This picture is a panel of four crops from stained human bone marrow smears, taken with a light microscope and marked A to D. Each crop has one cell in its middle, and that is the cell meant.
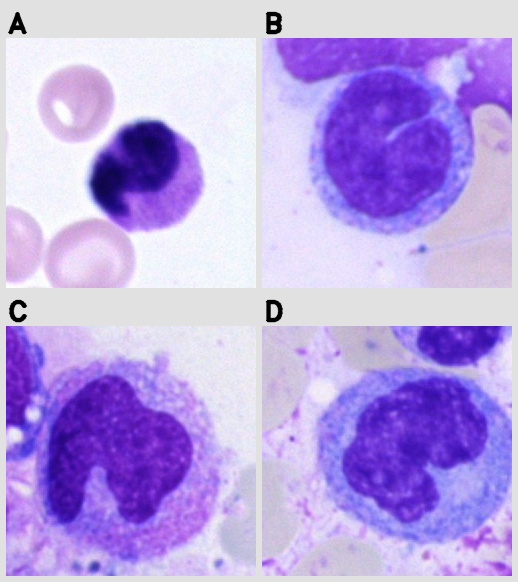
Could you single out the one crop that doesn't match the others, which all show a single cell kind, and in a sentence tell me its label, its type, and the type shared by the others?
Excluding crop A, which is a segmented neutrophil, the crops all show monocytes.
